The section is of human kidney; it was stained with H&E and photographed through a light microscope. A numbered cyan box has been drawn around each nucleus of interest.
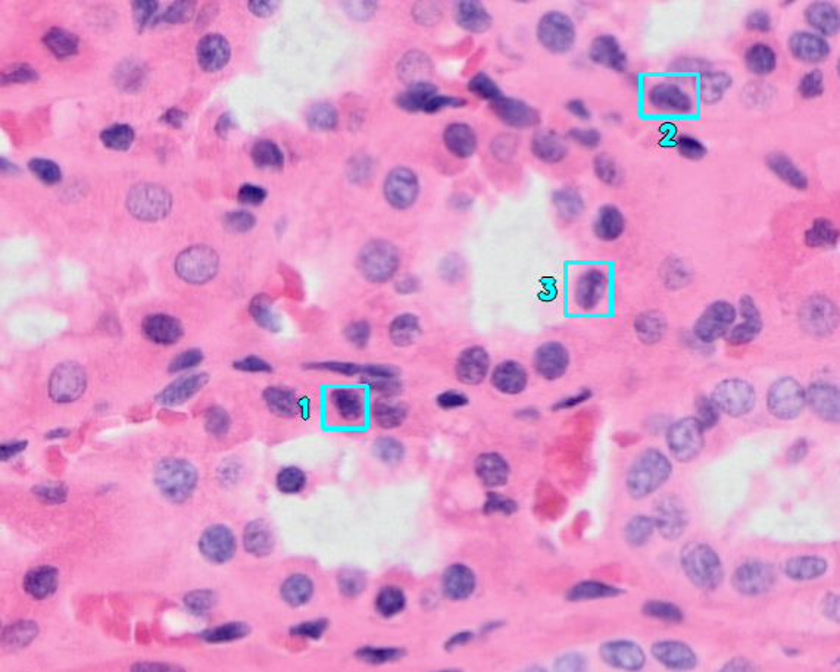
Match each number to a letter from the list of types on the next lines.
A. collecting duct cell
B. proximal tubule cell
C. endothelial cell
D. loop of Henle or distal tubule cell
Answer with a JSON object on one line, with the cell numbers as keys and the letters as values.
{"1": "D", "2": "A", "3": "D"}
